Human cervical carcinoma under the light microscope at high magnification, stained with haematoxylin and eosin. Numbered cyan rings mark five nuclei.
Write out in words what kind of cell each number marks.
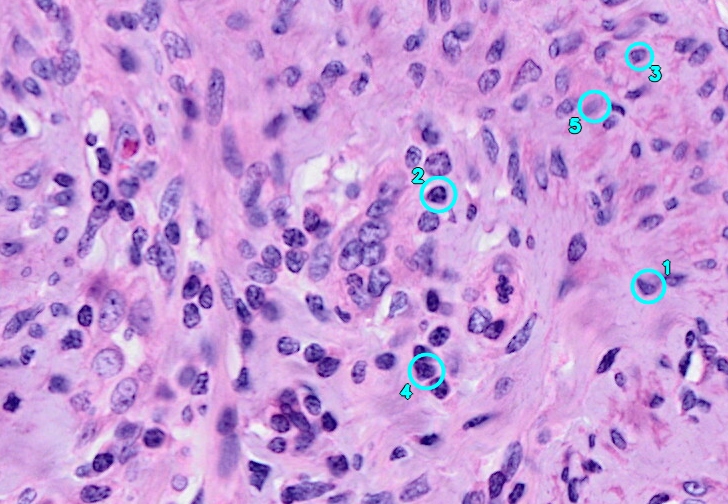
Cell 1 is a fibroblast. Cells 2 and 4 are lymphocytes. Cells 3 and 5 are smooth muscle cells.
